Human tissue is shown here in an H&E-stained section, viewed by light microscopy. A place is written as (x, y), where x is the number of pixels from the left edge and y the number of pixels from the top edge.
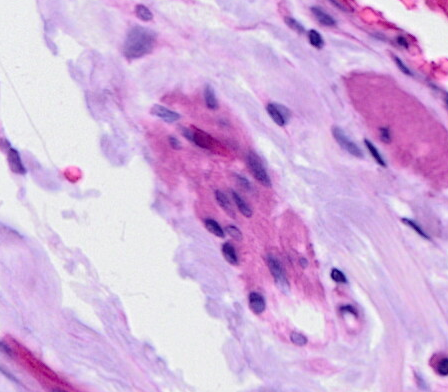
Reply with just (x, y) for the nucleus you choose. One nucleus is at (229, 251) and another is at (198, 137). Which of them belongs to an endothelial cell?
(198, 137)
